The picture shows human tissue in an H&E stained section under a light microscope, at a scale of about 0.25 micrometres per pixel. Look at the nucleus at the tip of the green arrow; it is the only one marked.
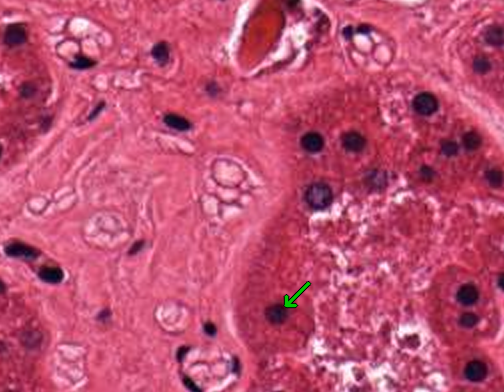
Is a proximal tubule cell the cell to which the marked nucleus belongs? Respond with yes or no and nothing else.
yes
